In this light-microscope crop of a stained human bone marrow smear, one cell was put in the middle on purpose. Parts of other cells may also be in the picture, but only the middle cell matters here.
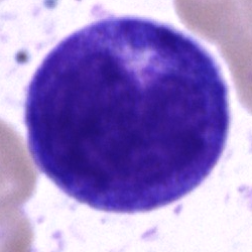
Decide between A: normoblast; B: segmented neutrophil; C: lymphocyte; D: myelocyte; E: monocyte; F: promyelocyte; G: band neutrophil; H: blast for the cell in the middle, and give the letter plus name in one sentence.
The cell in the middle is a promyelocyte, so option F is correct.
